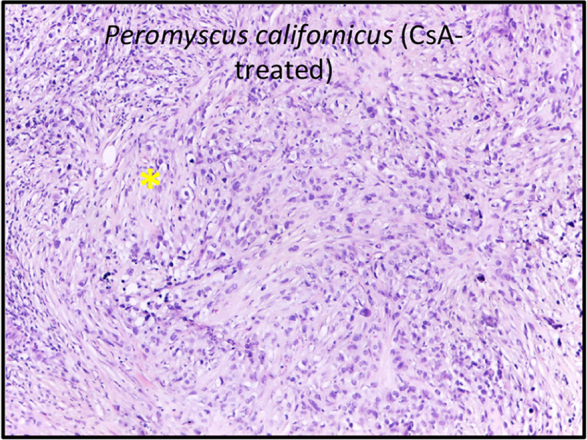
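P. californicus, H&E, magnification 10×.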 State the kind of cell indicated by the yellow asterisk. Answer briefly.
Spindling cells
